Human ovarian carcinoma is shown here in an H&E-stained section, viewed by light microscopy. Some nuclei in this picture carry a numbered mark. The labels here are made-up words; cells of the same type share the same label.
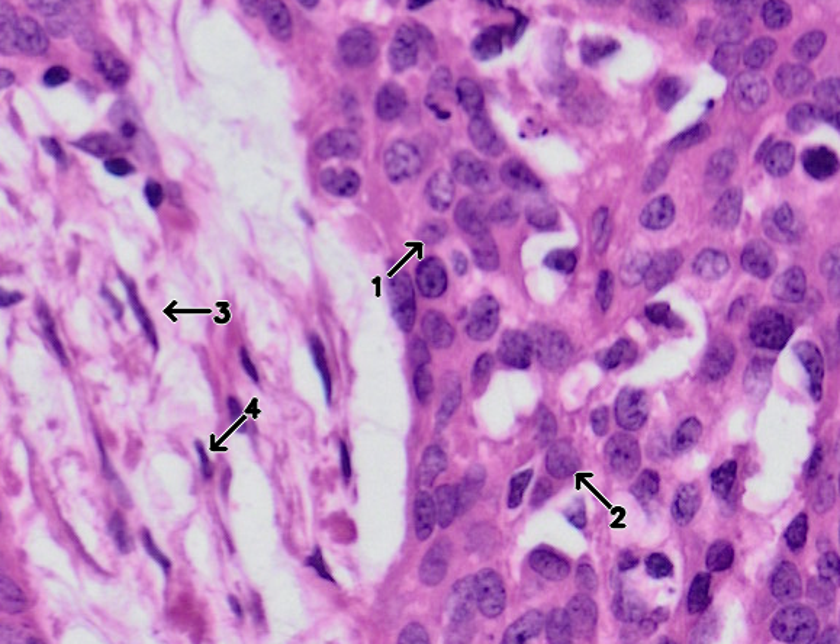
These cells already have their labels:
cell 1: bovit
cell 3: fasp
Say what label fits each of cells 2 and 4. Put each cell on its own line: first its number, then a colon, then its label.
2: bovit
4: fasp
